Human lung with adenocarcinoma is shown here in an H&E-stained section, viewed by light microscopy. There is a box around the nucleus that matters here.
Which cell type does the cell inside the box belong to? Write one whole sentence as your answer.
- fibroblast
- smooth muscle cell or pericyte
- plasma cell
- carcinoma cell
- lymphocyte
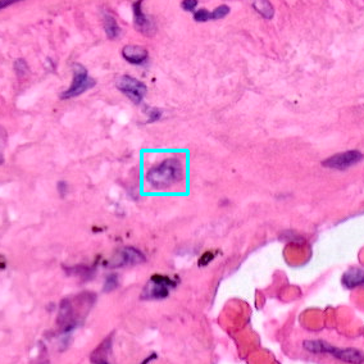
Labelled by cell type, the cell inside the box is a fibroblast.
